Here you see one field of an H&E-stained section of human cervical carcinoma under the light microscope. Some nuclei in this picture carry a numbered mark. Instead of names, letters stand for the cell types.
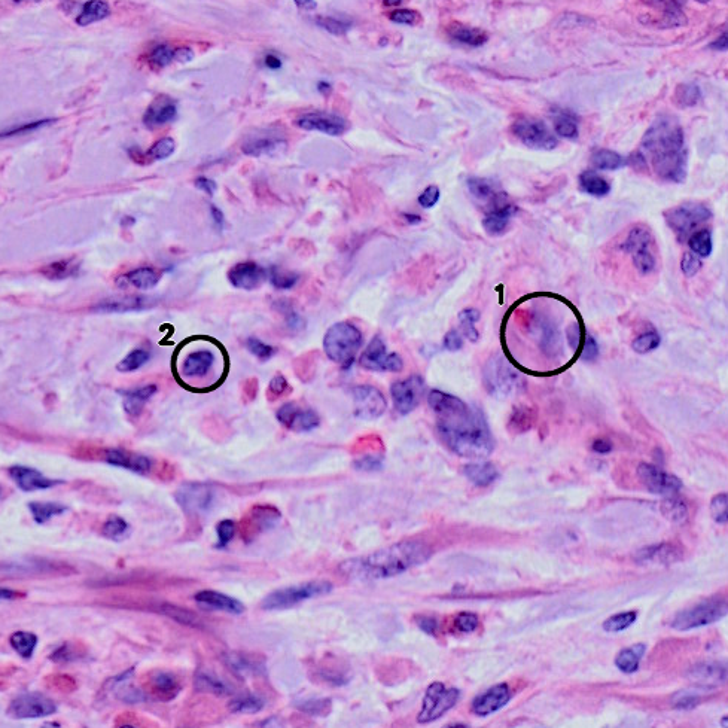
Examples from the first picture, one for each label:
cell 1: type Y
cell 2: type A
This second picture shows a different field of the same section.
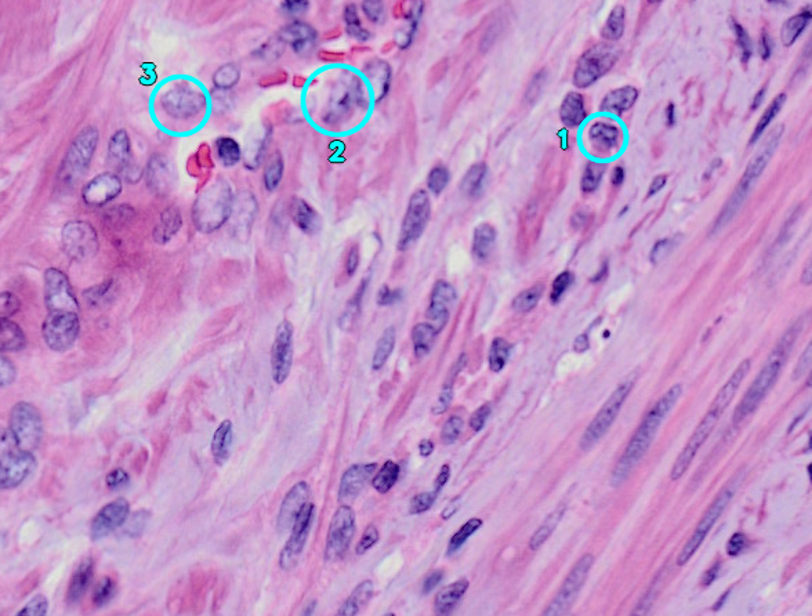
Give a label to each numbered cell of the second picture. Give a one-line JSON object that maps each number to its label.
{"1": "type A", "2": "type Y", "3": "type Y"}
